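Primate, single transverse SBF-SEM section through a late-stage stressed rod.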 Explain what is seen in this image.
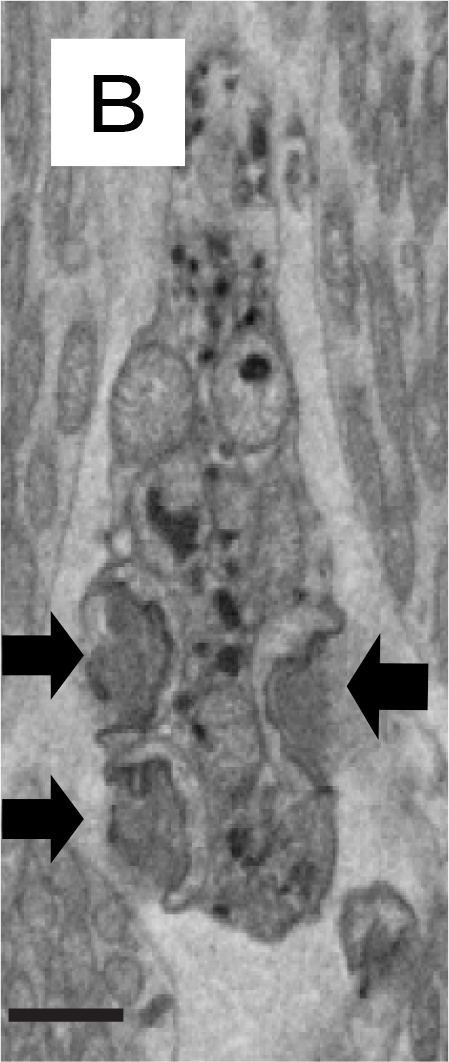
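Toward the top, small very dark granules cluster together. Along the lower part of the cell, dark dense bodies sit right at its outer boundary on both sides, where the cell outline becomes irregular and bulging.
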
